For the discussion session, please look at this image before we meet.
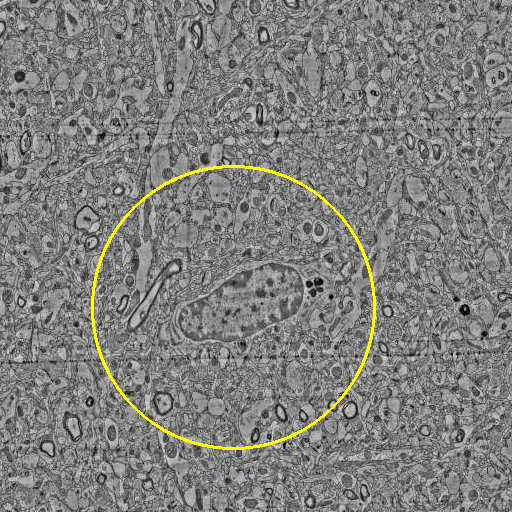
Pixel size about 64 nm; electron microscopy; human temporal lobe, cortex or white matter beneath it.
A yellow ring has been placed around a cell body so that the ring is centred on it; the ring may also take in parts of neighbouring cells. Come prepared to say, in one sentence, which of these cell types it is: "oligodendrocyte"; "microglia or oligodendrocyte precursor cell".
The cell centred in the ring is a microglial cell or oligodendrocyte precursor cell.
